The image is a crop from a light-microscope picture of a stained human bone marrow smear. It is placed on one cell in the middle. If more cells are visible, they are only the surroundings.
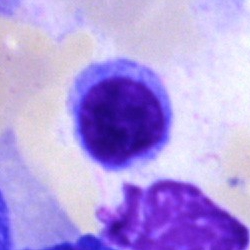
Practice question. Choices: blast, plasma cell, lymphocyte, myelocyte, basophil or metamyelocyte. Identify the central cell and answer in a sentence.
On this slide crop, the central cell is a lymphocyte.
